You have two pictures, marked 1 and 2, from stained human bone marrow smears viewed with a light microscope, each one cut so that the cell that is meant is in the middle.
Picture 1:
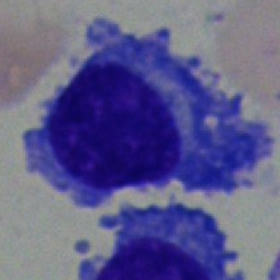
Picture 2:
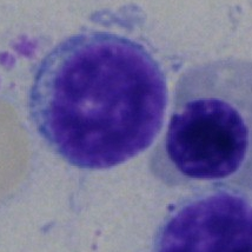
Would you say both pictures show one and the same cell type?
no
